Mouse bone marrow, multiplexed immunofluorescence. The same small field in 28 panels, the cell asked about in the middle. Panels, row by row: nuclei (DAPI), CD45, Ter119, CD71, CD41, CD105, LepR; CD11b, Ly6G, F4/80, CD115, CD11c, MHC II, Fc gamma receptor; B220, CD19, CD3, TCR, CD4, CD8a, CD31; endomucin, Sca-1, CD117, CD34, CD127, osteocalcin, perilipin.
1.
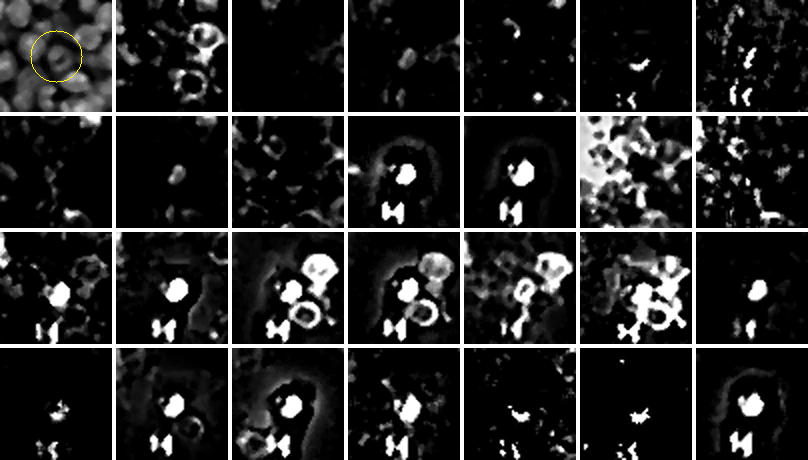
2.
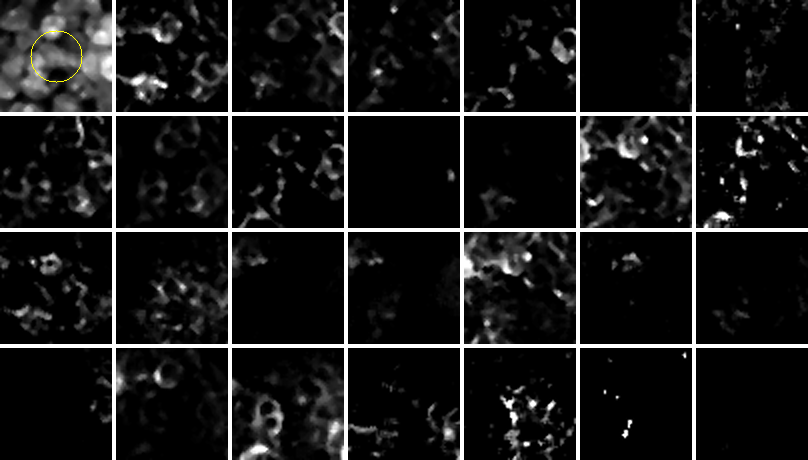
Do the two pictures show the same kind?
No: a B cell, then a common lymphoid progenitor.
